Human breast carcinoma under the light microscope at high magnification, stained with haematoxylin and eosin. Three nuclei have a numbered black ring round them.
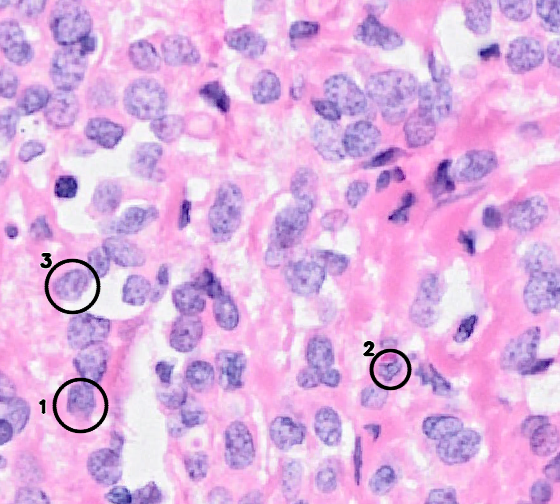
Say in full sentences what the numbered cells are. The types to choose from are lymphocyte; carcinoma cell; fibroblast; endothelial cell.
Cells 1 and 3 are carcinoma cells. Cell 2 is an endothelial cell.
